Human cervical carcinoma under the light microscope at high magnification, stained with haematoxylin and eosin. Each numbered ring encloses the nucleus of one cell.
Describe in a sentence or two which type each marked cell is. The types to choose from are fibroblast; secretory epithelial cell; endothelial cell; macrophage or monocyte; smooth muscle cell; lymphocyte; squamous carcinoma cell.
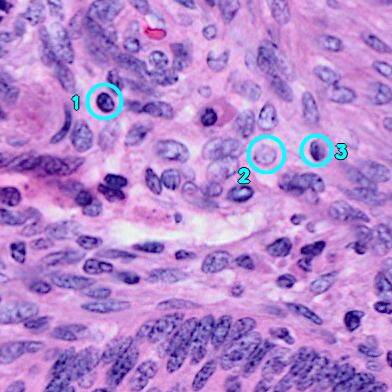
Cell 1 is a lymphocyte, cell 2 is an endothelial cell and cell 3 is a lymphocyte.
